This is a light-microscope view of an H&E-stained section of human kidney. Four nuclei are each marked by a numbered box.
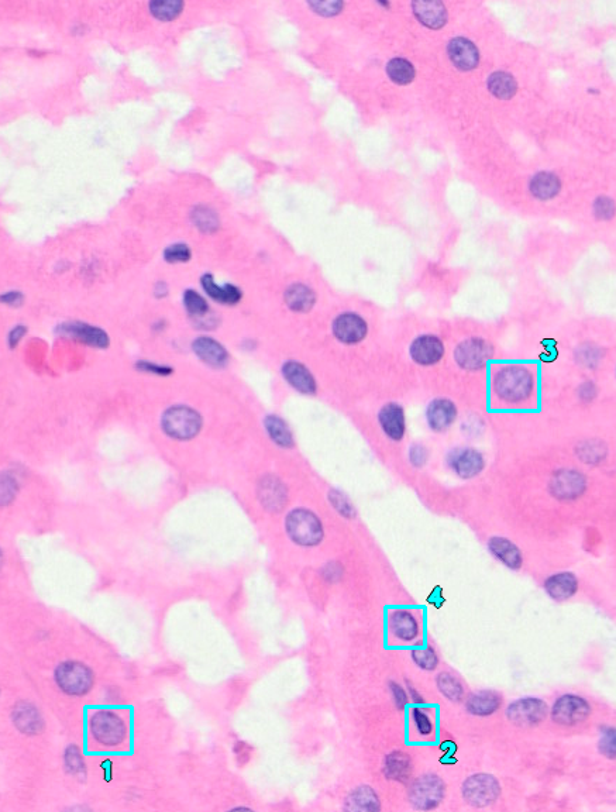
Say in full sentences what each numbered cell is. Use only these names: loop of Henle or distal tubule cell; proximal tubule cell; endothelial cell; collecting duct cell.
Cells 1 and 3 are proximal tubule cells. Cell 2 is an endothelial cell. Cell 4 is a collecting duct cell.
